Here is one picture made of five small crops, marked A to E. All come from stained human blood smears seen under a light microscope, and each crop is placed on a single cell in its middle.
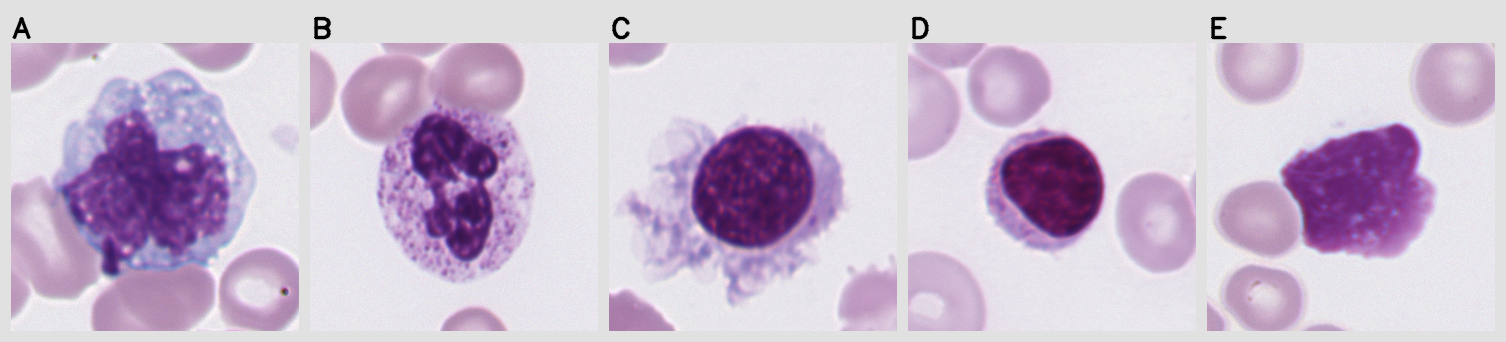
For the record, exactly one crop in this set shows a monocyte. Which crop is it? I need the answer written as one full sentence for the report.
The crop carrying a monocyte at the center is crop A.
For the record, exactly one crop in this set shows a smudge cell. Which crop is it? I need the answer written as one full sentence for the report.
Among the crops provided, a smudge cell occupies the center of crop E.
